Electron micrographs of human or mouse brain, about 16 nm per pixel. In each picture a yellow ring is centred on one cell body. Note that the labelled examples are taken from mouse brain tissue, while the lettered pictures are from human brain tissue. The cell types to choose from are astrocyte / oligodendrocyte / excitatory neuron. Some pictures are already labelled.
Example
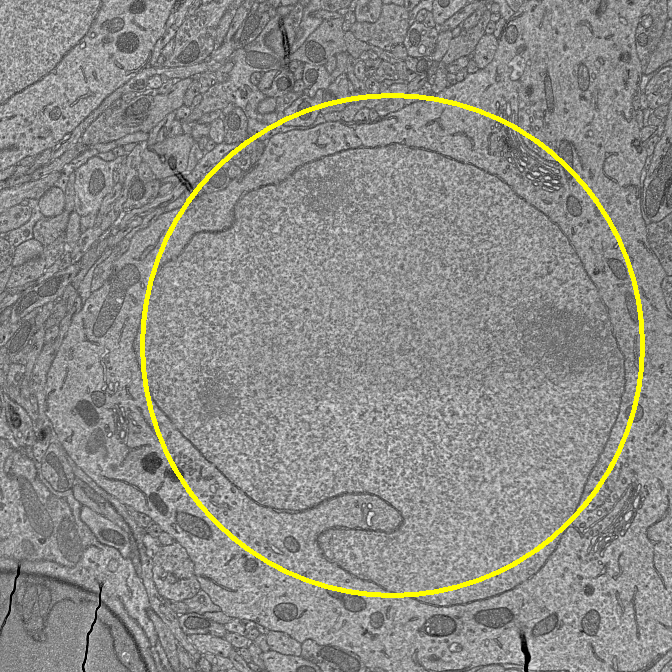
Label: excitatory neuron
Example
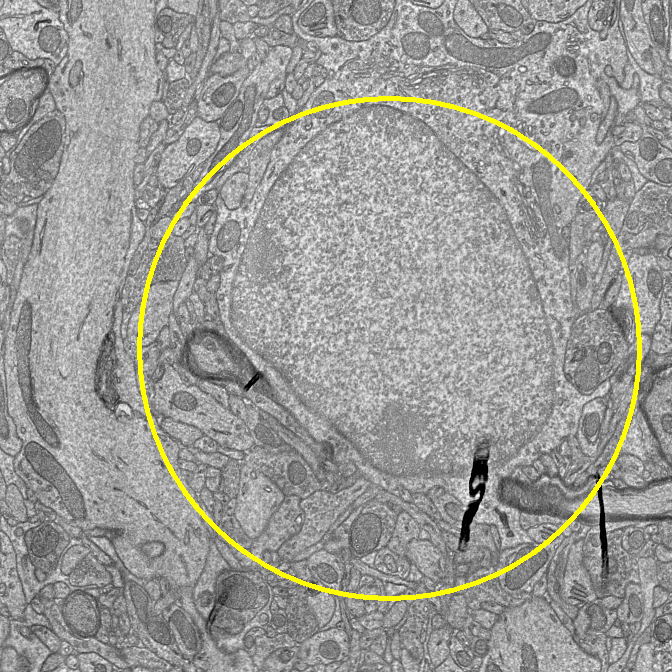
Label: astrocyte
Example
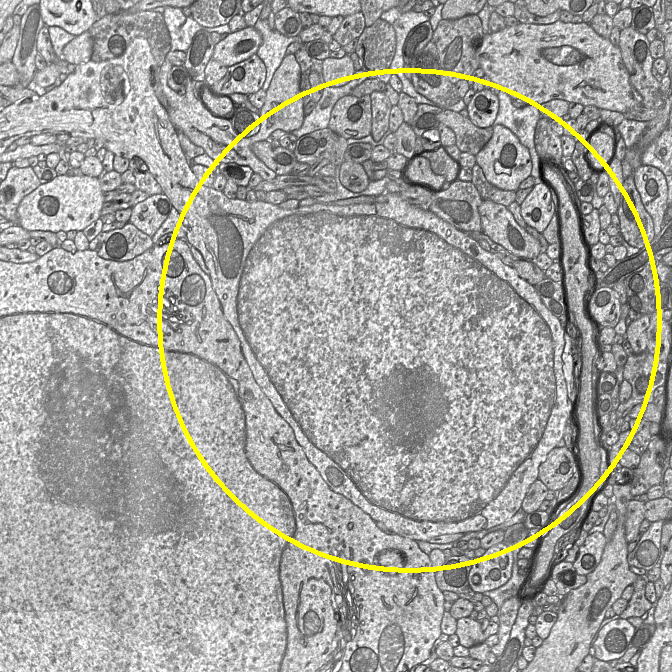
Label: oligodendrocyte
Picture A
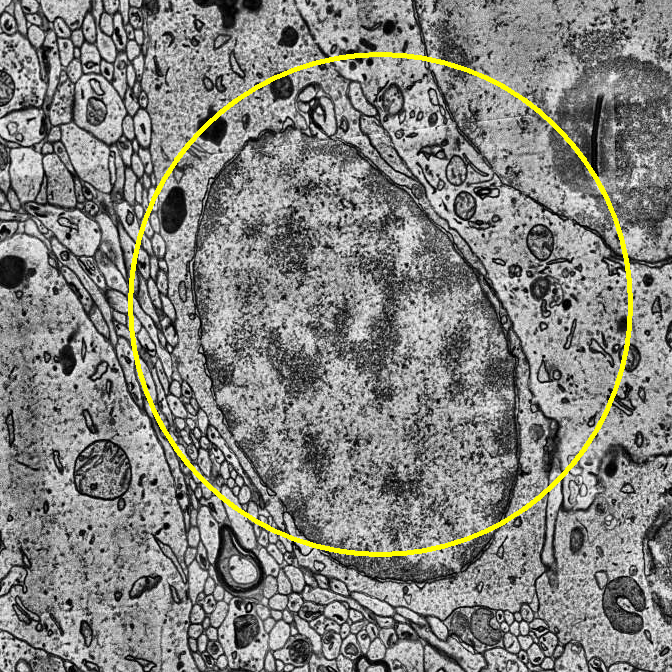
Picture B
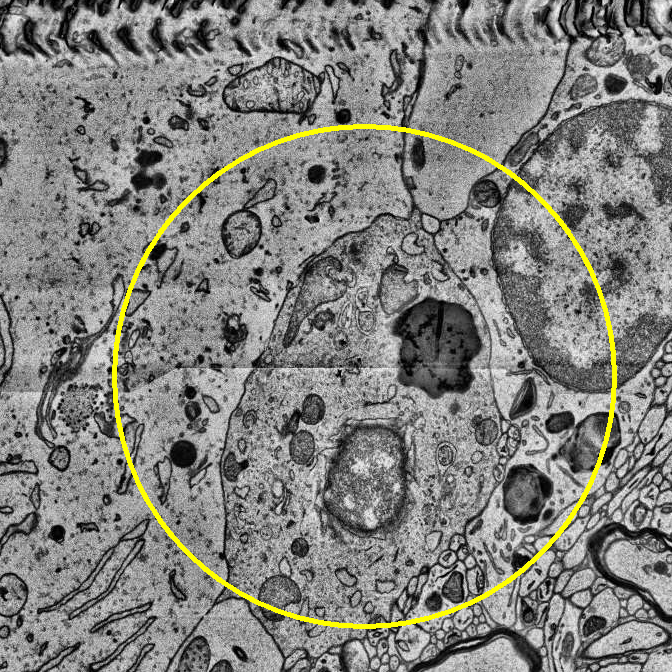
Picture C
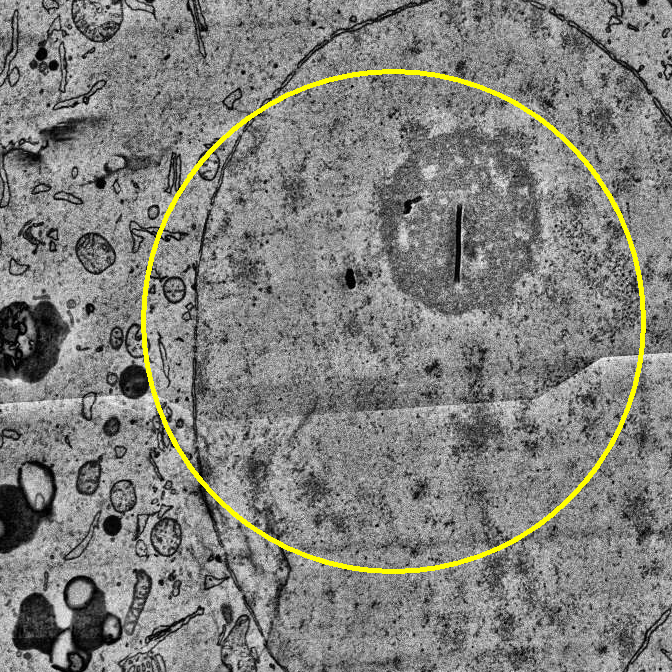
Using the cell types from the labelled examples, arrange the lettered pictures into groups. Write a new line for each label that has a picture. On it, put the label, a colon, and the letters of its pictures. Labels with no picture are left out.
oligodendrocyte: A, B
excitatory neuron: C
